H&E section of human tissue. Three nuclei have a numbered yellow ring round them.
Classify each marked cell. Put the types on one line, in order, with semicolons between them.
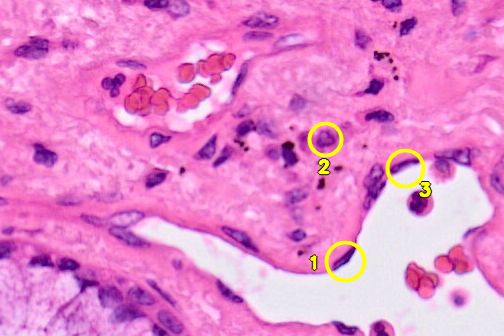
endothelial cell; plasma cell; endothelial cell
